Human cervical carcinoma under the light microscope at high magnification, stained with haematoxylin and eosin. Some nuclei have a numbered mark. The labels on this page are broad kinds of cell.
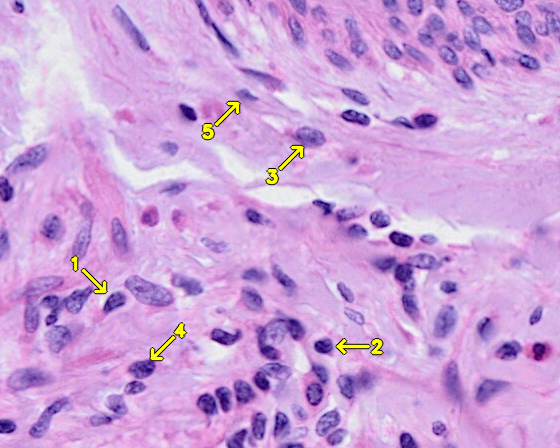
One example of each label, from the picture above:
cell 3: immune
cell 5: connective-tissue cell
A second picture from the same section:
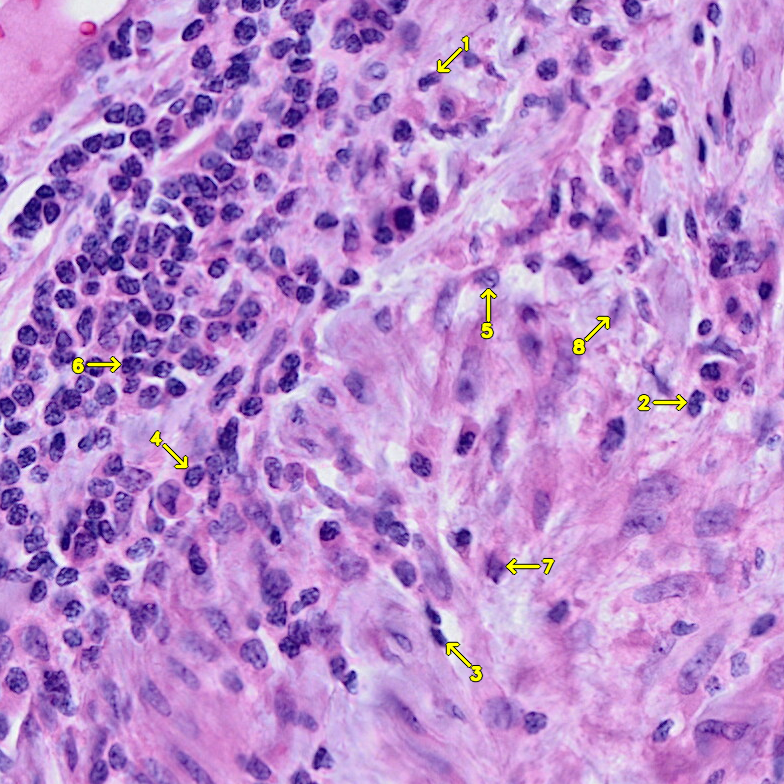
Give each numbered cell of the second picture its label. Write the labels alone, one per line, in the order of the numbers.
immune
immune
immune
immune
immune
immune
immune
connective-tissue cell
